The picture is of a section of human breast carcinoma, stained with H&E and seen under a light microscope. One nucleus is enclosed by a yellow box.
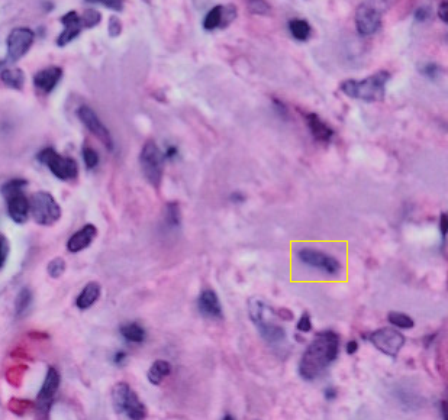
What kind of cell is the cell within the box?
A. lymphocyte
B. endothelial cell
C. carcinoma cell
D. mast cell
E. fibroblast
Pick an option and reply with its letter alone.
D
